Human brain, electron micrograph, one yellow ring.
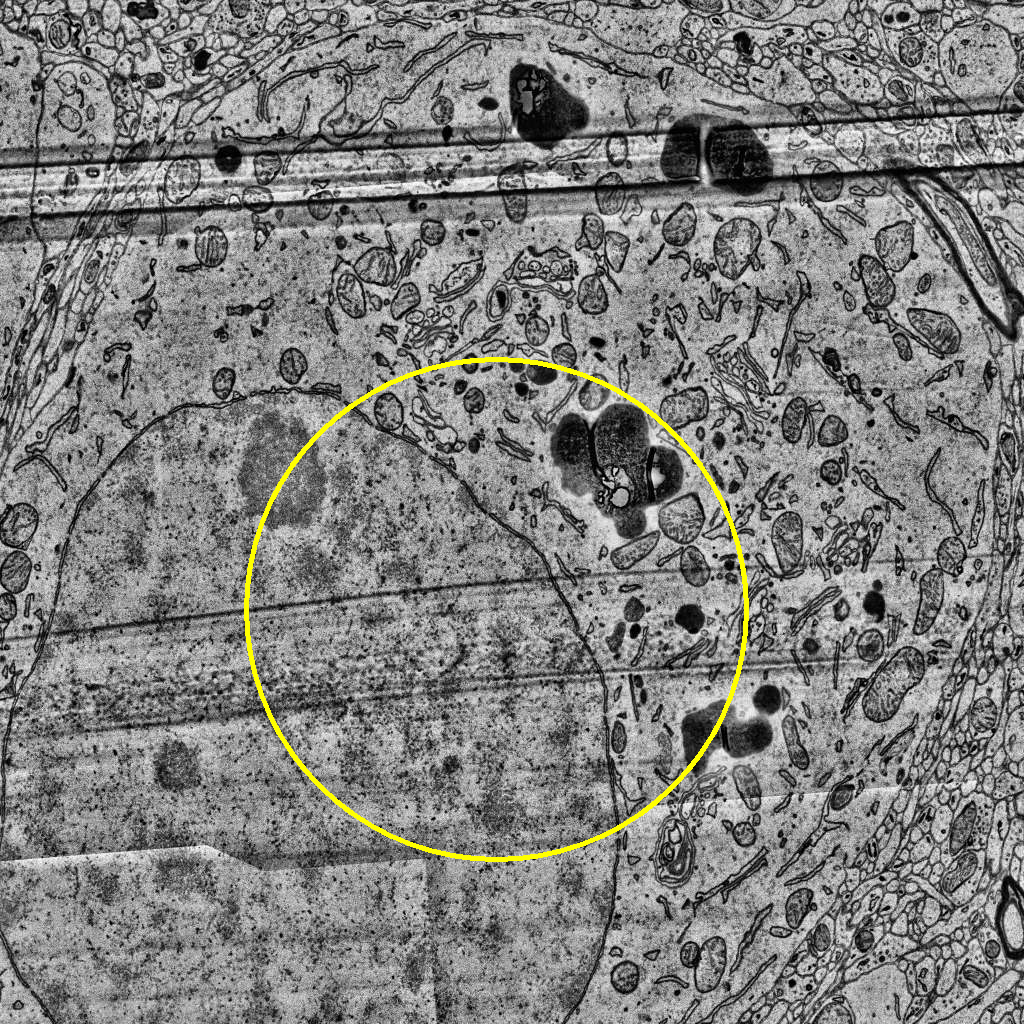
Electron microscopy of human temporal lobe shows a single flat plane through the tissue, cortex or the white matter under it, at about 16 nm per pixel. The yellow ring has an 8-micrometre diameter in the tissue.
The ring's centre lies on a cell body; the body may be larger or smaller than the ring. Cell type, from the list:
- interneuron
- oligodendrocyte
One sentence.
The yellow ring's centre lies on an interneuron.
